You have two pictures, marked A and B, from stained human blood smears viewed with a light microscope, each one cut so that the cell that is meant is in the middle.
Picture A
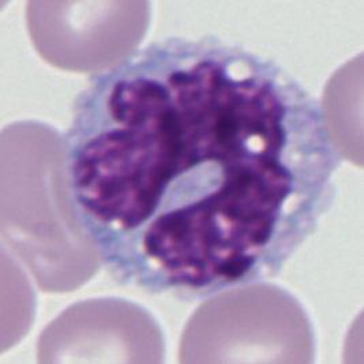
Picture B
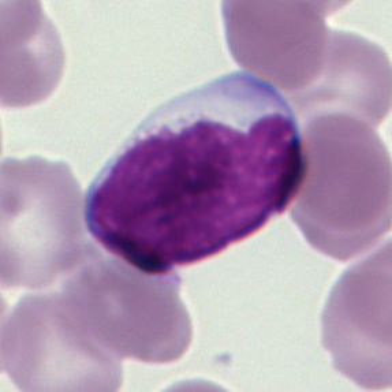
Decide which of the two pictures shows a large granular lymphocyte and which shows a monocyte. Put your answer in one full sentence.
It is picture A that shows a monocyte, and picture B that shows a large granular lymphocyte.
